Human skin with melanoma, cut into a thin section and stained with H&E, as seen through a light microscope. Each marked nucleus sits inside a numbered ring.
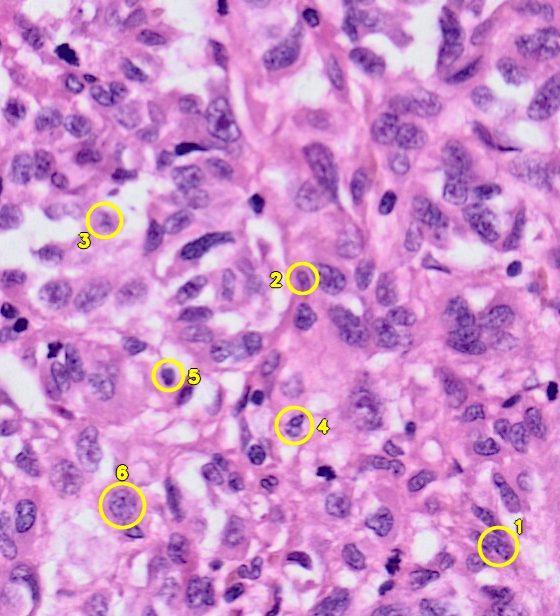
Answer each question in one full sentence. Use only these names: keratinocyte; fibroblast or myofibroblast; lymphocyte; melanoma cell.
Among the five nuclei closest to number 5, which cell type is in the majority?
Around number 5, most of the five nearest nuclei are those of melanoma cells.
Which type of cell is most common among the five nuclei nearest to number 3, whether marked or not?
Melanoma cells account for more than half of the five nuclei nearest to number 3.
